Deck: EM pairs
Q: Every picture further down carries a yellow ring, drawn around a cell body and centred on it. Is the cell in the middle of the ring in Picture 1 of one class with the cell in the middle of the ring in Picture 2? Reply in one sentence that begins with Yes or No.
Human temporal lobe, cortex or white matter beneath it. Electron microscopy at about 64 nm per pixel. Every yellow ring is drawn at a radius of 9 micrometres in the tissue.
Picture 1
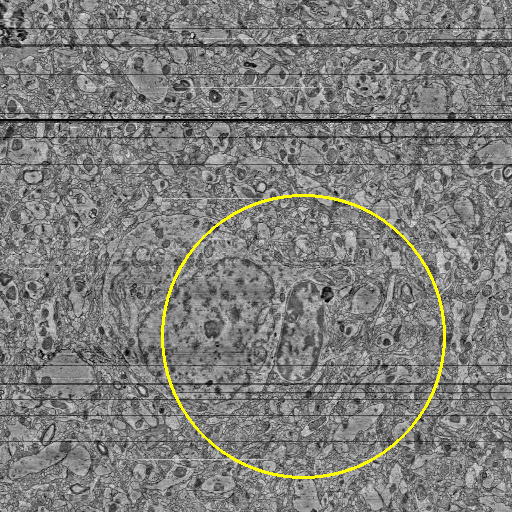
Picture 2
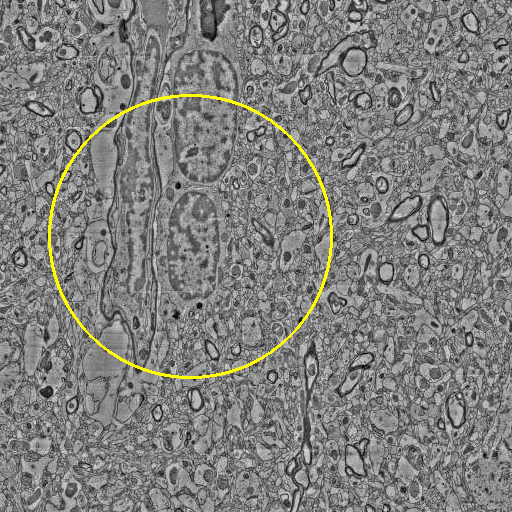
No, the cell centred in the ring of Picture 1 and the one in Picture 2 belong to separate classes.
